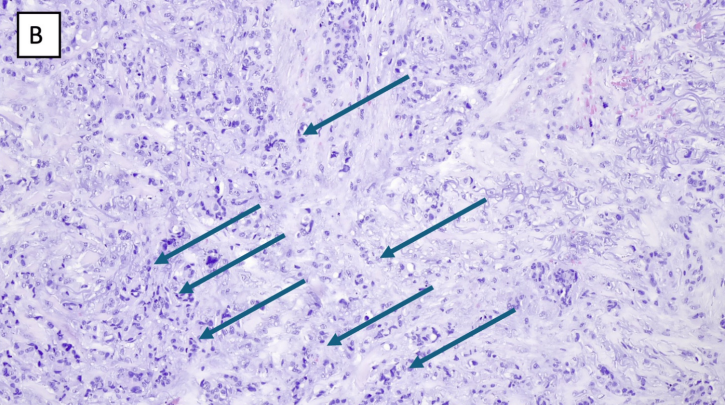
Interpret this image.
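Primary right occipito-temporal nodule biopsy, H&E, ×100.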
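Atypical cells infiltrating fibrous stroma in narrow cords and small nests. The cords branch and run in different directions between pale collagen bundles. Nuclei are variable in size and shape, some enlarged and darkly stained, others paler. Cytoplasm is scant to moderate and pale. The stroma between the cords is loose and lightly stained.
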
